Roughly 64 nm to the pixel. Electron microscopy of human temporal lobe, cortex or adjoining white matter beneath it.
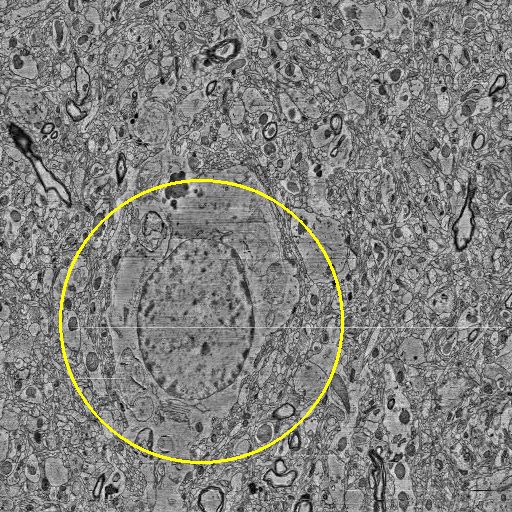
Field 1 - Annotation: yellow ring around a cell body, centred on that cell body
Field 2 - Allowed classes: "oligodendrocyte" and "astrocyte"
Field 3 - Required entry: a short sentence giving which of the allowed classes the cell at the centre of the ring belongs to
The centred cell is an astrocyte.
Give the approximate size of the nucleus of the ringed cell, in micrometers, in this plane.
In this plane the nucleus measures roughly 11 by 8 micrometers.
